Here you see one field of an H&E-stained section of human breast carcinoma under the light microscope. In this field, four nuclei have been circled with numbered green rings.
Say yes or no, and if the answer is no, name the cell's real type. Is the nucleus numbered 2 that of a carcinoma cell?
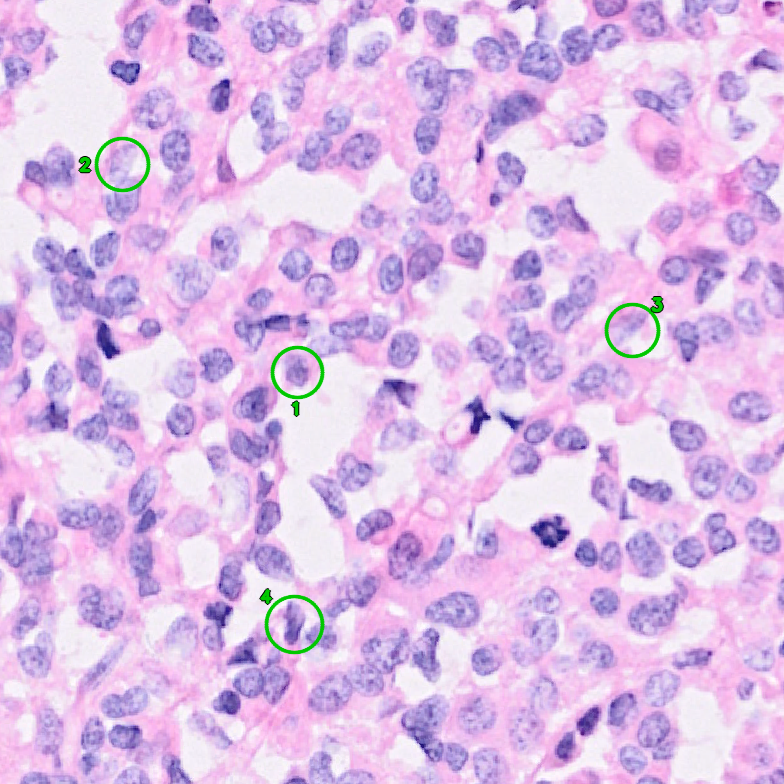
Yes.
